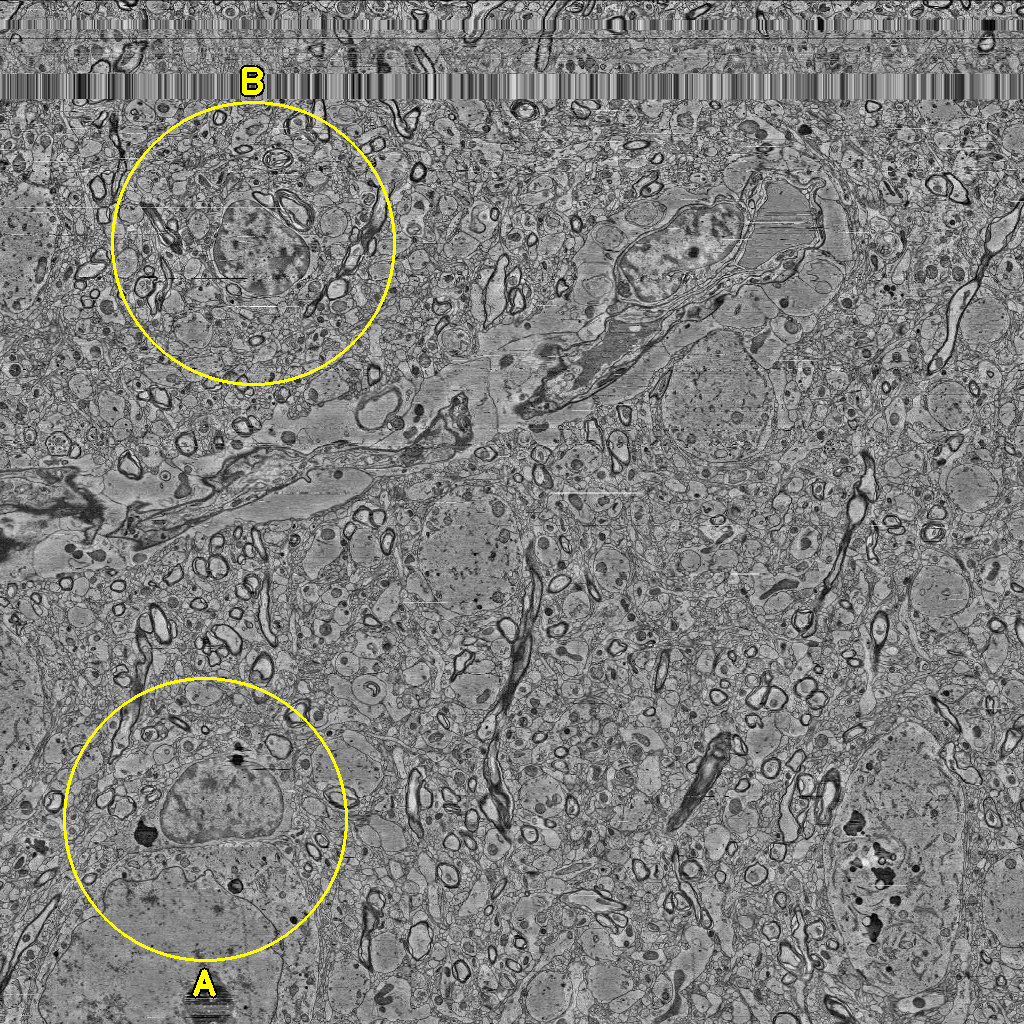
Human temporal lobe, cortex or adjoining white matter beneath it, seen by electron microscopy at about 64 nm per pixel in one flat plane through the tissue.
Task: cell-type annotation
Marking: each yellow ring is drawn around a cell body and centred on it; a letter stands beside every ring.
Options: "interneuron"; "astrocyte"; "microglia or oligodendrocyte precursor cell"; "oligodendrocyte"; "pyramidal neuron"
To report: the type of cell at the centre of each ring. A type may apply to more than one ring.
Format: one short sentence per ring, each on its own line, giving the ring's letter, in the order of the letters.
Ring A is centred on an oligodendrocyte.
Ring B is centred on a microglial cell or oligodendrocyte precursor cell.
